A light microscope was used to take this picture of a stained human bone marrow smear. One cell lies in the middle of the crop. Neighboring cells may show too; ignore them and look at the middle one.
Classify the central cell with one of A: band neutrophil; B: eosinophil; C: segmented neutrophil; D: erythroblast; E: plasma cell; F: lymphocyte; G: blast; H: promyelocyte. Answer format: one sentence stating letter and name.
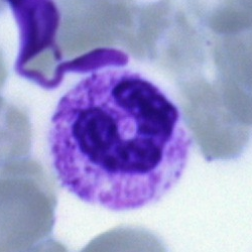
Option A is the keyed answer: the cell in the middle is a band neutrophil.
